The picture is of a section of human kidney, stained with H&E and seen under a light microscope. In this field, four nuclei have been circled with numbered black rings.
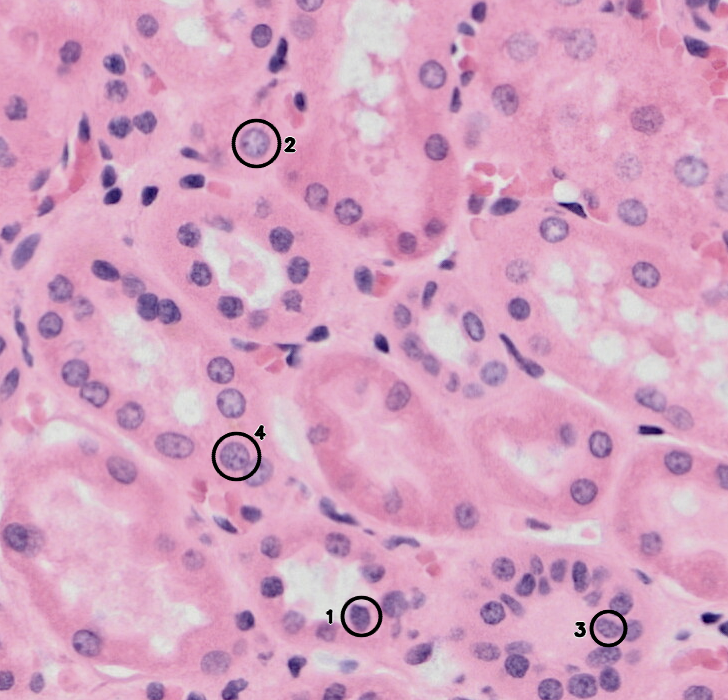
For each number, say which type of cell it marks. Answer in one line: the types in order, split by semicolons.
loop of Henle or distal tubule cell; proximal tubule cell; collecting duct cell; proximal tubule cell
